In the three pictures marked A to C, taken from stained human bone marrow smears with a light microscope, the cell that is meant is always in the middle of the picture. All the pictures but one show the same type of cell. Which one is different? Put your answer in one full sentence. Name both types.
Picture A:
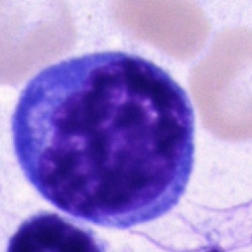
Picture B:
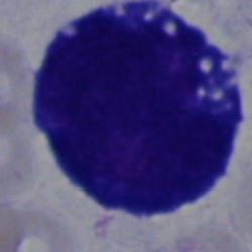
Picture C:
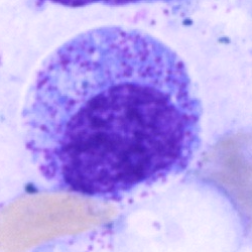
All pictures except C show blasts; picture C shows a promyelocyte.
